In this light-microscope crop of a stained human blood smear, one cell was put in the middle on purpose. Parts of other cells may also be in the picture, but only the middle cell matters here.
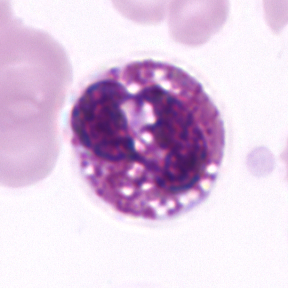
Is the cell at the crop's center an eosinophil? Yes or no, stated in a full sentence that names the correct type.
Yes, centred in the crop is an eosinophil.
